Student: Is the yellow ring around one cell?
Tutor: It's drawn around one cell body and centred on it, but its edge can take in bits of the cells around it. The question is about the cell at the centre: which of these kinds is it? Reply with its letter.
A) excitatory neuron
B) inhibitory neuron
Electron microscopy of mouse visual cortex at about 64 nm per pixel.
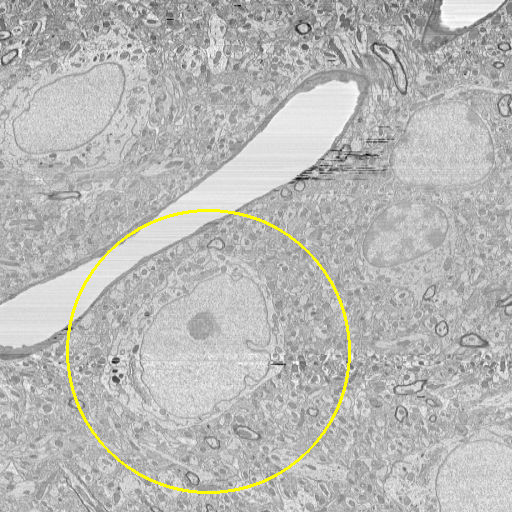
B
